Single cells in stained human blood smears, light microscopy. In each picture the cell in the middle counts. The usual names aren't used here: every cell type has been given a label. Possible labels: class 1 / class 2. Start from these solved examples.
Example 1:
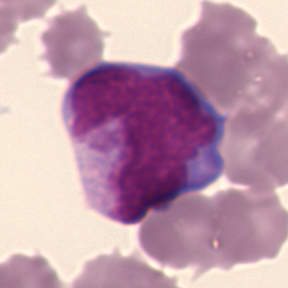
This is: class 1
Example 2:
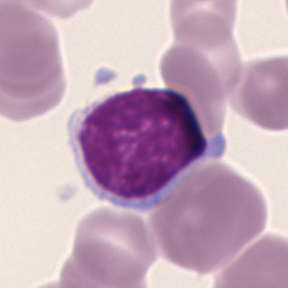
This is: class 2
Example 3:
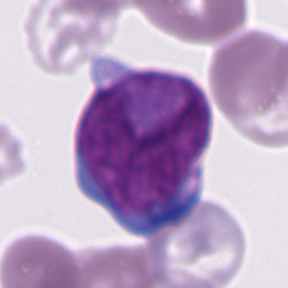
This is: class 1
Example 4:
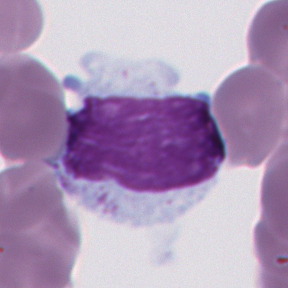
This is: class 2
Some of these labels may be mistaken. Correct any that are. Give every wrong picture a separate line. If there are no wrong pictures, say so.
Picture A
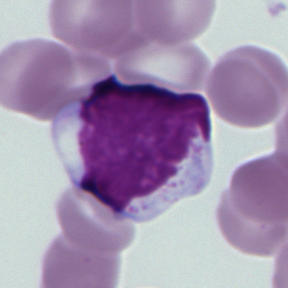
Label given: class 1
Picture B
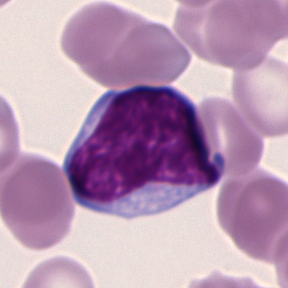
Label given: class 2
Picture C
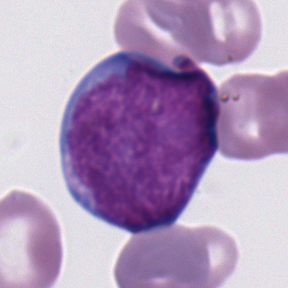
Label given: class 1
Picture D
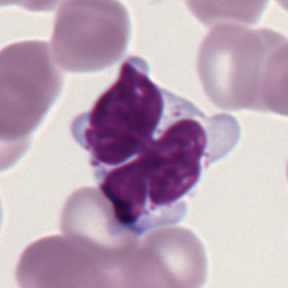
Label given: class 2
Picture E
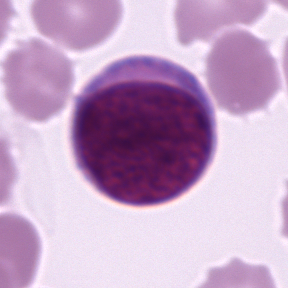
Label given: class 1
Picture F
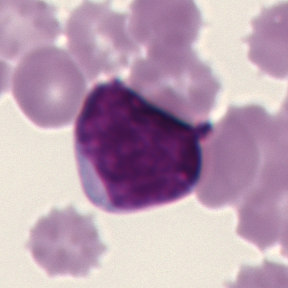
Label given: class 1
A should be class 2, not class 1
